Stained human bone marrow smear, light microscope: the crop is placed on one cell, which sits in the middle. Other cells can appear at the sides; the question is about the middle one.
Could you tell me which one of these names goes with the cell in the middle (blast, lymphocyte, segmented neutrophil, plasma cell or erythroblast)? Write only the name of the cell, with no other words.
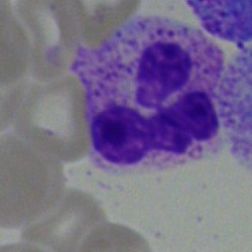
segmented neutrophil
